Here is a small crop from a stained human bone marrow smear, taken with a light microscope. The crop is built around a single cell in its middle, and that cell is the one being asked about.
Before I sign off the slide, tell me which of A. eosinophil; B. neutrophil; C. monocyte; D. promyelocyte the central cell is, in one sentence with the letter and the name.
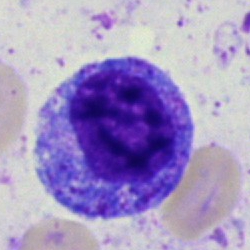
The centrally positioned cell is a promyelocyte, consistent with option D, which is correct.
